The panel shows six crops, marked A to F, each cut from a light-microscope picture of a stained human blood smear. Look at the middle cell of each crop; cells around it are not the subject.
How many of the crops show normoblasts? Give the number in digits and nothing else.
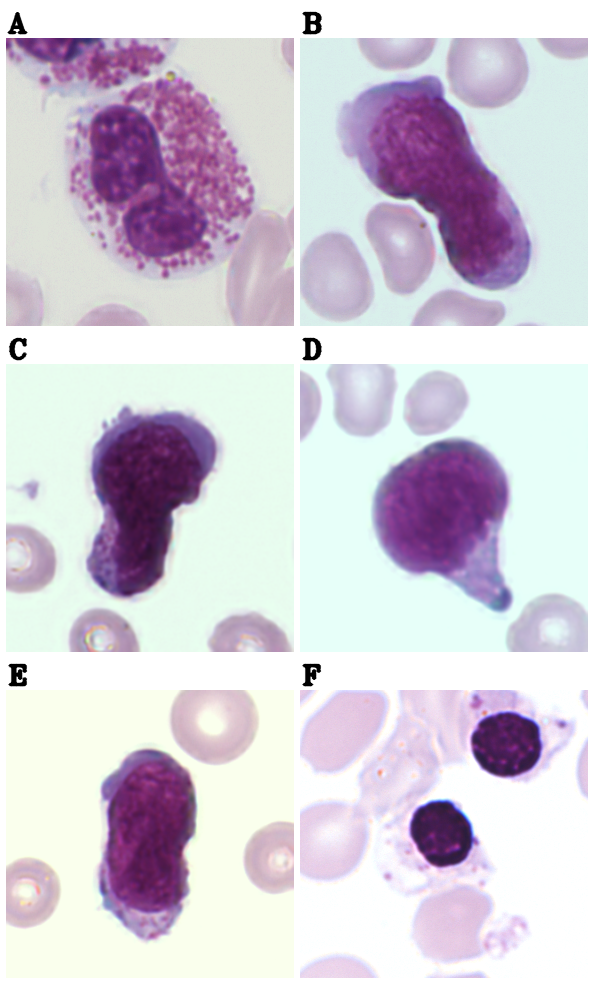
1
